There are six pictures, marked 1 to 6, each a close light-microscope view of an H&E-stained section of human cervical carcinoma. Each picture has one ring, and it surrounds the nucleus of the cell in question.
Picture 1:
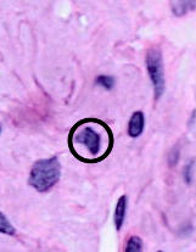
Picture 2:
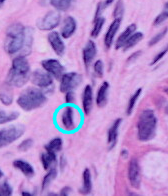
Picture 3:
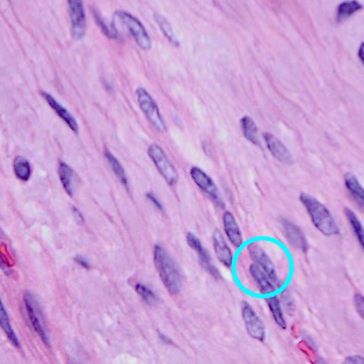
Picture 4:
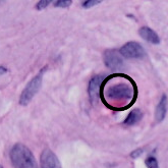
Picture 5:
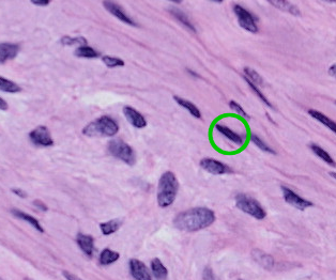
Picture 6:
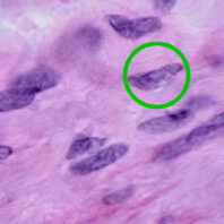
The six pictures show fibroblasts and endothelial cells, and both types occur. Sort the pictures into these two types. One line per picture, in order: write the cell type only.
fibroblast
fibroblast
endothelial cell
endothelial cell
fibroblast
fibroblast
